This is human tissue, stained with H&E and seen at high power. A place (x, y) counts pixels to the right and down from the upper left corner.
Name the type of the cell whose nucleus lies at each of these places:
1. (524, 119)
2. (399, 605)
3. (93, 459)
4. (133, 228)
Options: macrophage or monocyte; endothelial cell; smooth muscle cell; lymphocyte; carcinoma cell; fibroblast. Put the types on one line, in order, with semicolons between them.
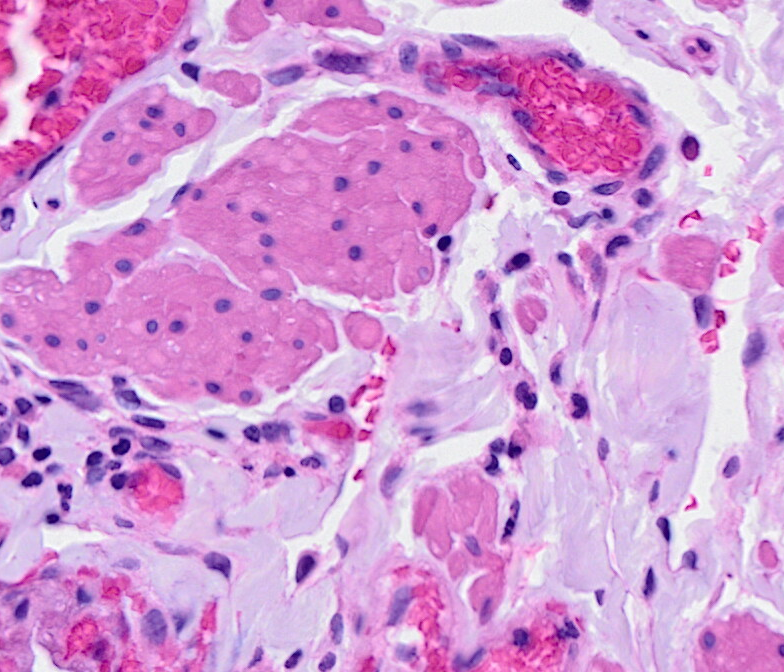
endothelial cell; endothelial cell; lymphocyte; smooth muscle cell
